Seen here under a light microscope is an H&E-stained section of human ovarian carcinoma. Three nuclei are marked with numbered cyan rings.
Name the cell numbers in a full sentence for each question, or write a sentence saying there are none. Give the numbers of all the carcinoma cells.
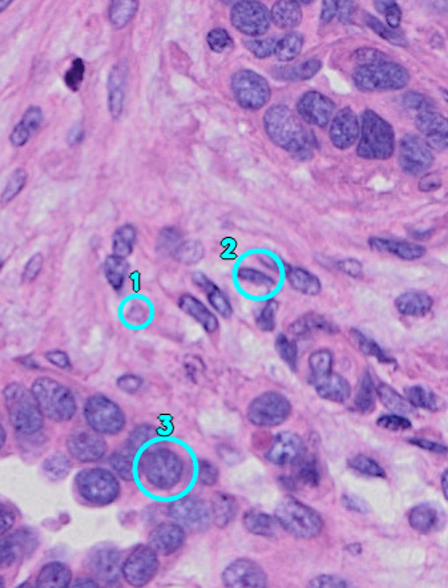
Whereas cell 3 is a carcinoma cell, the other numbered cells are not.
